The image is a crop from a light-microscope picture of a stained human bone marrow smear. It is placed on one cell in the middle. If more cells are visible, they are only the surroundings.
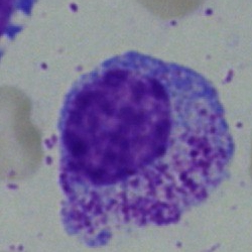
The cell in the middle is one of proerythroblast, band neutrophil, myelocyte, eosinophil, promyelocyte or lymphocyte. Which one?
myelocyte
